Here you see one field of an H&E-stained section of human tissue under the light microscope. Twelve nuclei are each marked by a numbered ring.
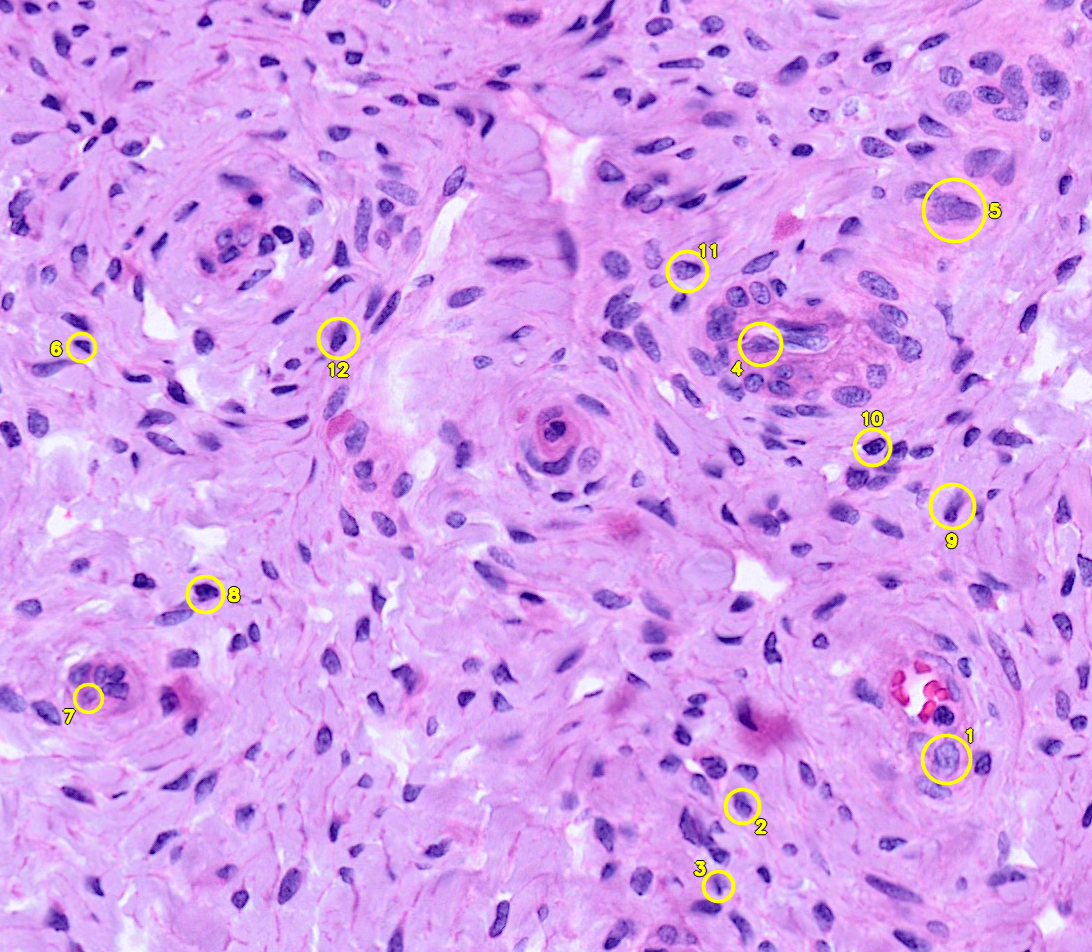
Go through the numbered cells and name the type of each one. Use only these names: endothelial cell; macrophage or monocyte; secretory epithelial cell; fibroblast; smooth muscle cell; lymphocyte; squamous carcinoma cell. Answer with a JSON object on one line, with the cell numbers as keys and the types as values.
{"1": "endothelial cell", "2": "fibroblast", "3": "fibroblast", "4": "endothelial cell", "5": "fibroblast", "6": "fibroblast", "7": "endothelial cell", "8": "lymphocyte", "9": "fibroblast", "10": "lymphocyte", "11": "fibroblast", "12": "fibroblast"}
